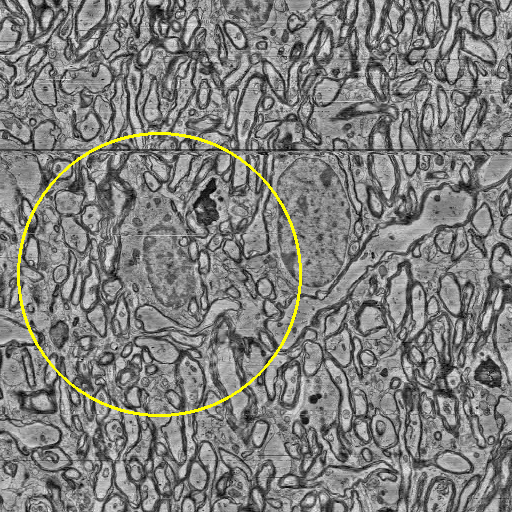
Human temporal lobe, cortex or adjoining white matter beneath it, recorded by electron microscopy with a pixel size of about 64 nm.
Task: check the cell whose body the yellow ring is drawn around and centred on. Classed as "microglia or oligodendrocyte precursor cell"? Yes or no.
No, it belongs to another class.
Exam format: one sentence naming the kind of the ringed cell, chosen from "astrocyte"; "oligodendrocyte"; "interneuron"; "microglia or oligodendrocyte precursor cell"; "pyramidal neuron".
Instead, the cell at the centre of the ring is an oligodendrocyte.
